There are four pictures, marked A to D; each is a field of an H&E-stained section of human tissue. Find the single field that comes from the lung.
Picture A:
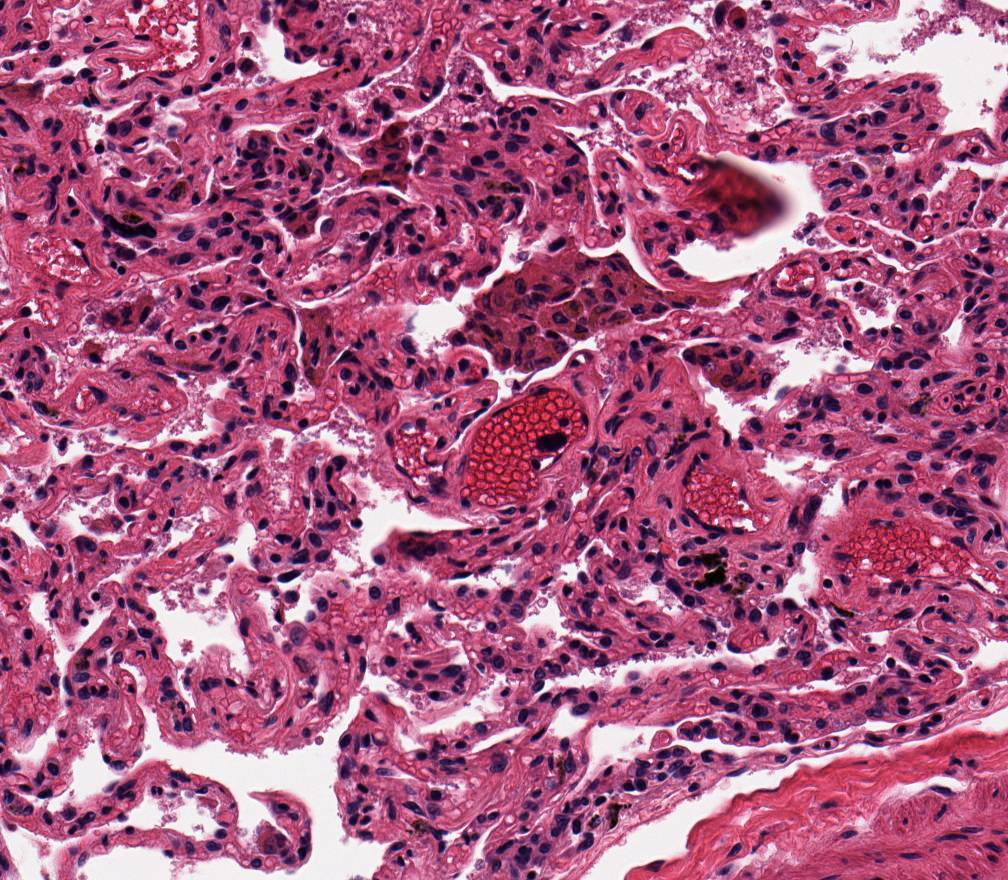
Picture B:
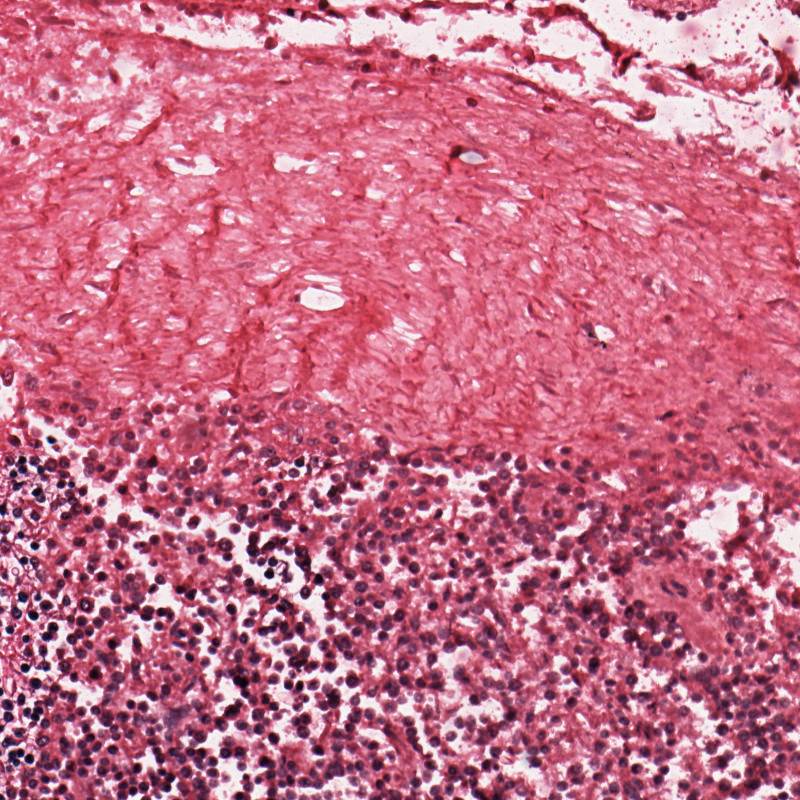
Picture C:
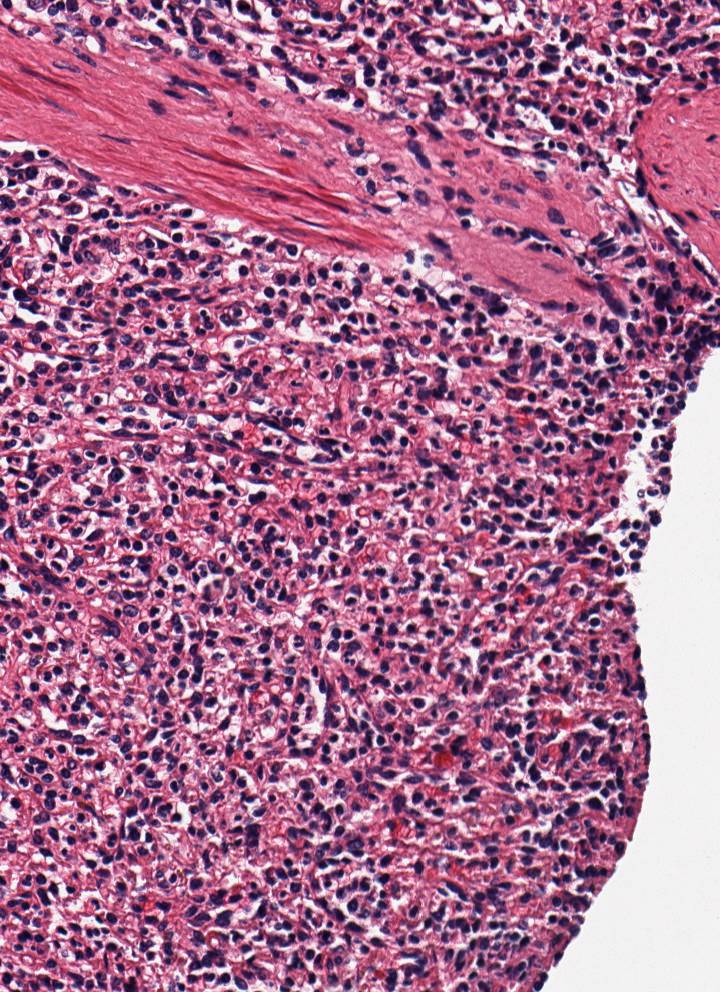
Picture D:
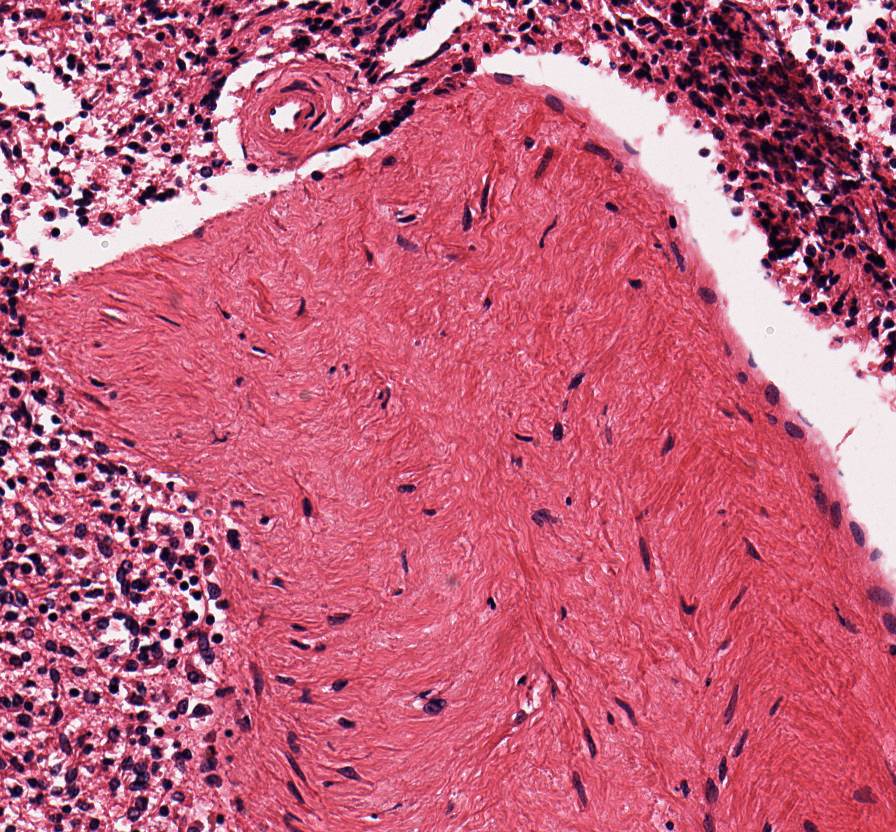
A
